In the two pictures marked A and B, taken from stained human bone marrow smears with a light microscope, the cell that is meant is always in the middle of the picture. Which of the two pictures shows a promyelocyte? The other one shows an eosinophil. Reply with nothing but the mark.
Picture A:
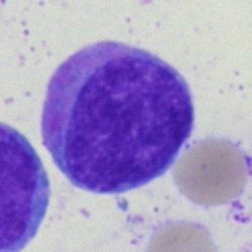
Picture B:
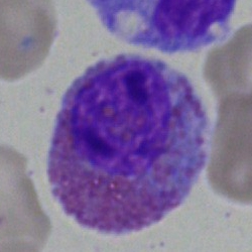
A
